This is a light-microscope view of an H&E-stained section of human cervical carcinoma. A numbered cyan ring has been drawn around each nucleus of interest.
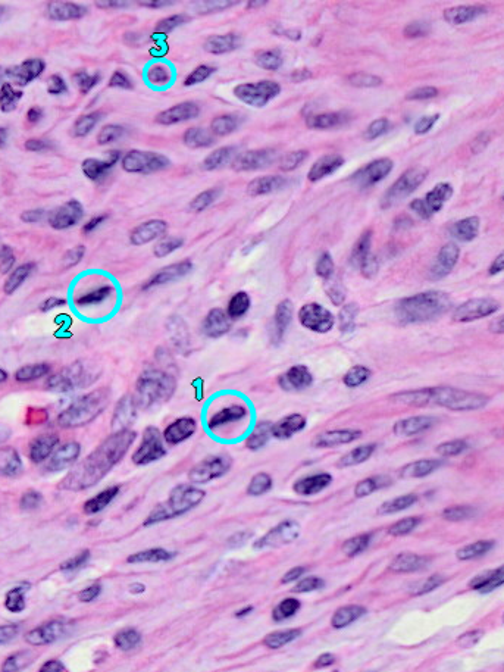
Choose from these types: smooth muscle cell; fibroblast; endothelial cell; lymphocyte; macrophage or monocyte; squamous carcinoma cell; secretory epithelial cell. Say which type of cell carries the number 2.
lymphocyte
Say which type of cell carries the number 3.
smooth muscle cell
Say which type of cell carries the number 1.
lymphocyte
